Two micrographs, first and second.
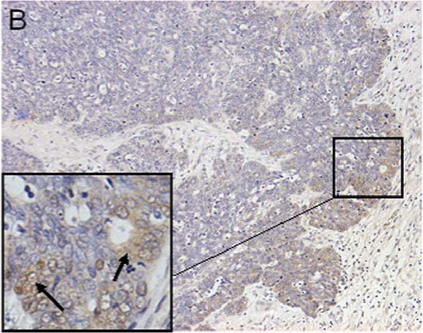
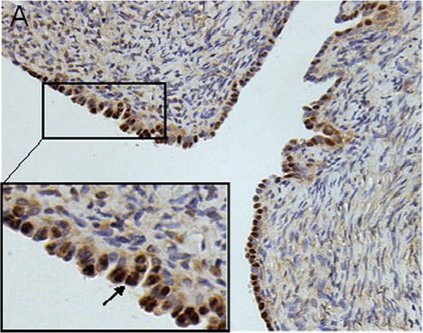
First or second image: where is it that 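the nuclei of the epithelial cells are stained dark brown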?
The second image.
